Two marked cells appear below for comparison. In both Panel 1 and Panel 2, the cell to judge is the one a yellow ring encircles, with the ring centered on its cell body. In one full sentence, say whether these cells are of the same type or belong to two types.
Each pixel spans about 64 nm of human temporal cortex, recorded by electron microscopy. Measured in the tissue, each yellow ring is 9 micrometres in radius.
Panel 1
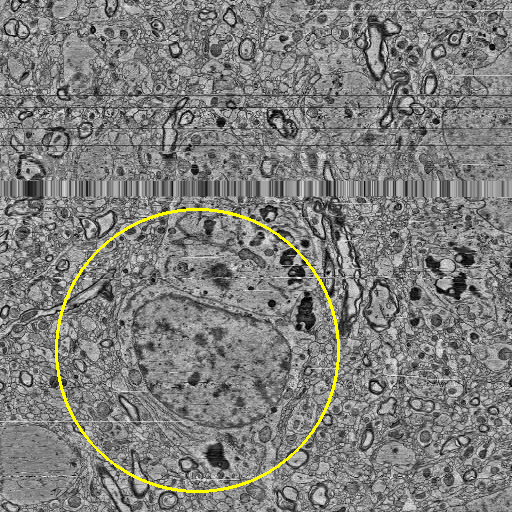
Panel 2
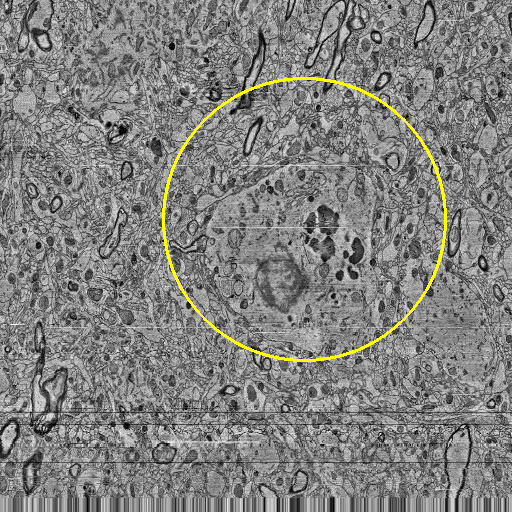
The cell centered in the Panel 1 ring and the one in Panel 2 are of the same type.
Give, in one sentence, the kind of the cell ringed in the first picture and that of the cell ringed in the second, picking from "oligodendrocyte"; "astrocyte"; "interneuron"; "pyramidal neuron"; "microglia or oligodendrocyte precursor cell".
Each of the two rings surrounds an interneuron.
